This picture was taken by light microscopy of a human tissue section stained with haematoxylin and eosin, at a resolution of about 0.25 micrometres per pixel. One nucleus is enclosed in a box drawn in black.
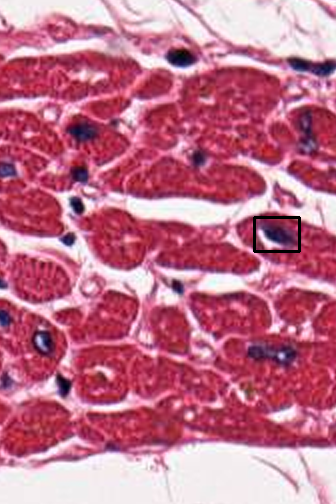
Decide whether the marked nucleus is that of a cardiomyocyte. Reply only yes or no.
yes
